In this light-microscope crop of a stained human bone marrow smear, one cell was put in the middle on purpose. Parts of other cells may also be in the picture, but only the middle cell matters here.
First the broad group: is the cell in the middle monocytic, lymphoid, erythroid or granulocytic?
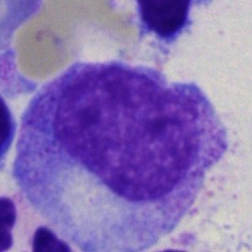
granulocytic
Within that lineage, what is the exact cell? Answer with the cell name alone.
promyelocyte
